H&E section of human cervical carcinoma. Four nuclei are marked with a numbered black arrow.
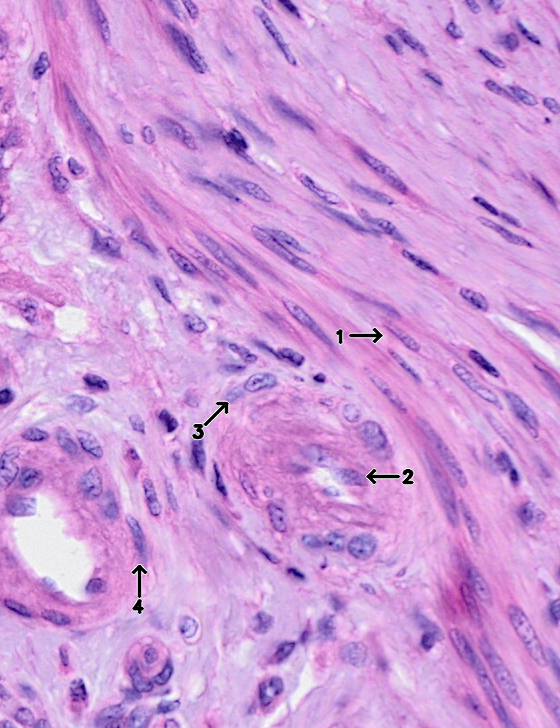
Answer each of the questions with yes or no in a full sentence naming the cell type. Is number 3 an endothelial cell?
No, the cell tagged 3 is a smooth muscle cell, not an endothelial cell.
